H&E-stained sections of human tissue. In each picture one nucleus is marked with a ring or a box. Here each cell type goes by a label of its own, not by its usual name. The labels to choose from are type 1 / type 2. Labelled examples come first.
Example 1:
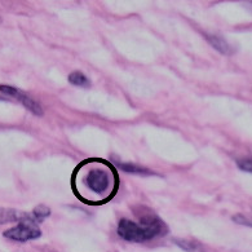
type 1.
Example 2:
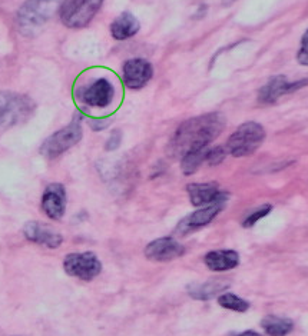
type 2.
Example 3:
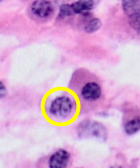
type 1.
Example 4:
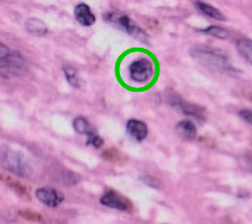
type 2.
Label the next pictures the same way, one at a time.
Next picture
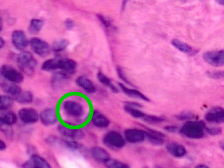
type 2.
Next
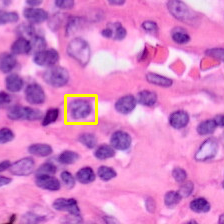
type 2.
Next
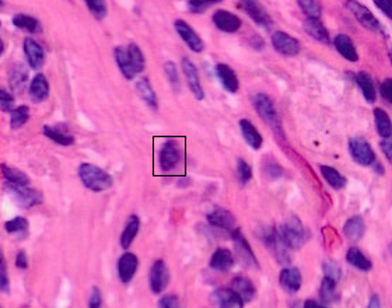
type 1.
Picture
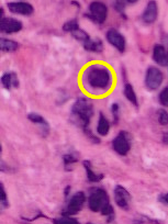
type 1.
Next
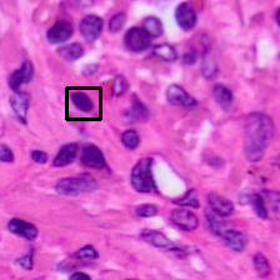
type 1.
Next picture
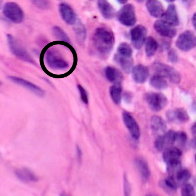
type 1.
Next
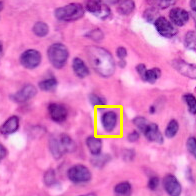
type 2.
